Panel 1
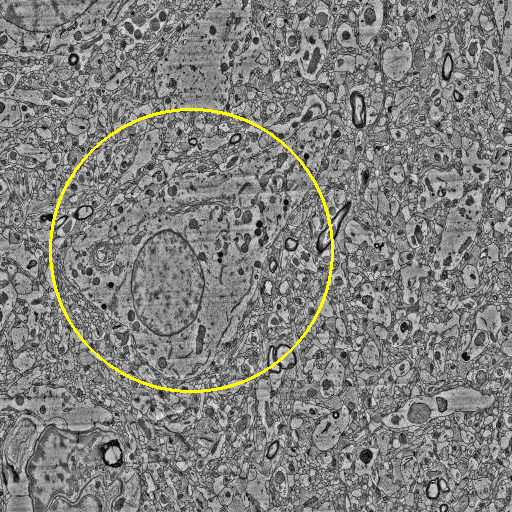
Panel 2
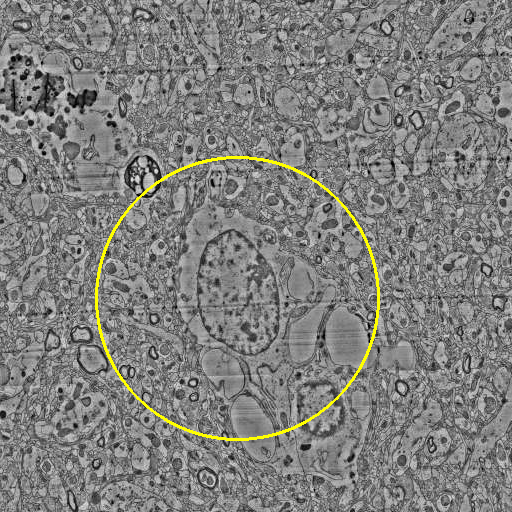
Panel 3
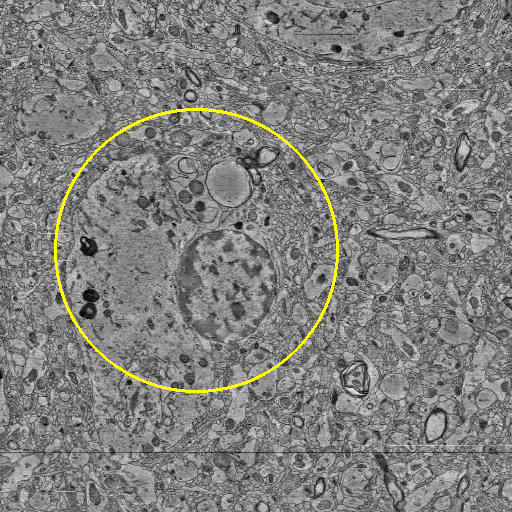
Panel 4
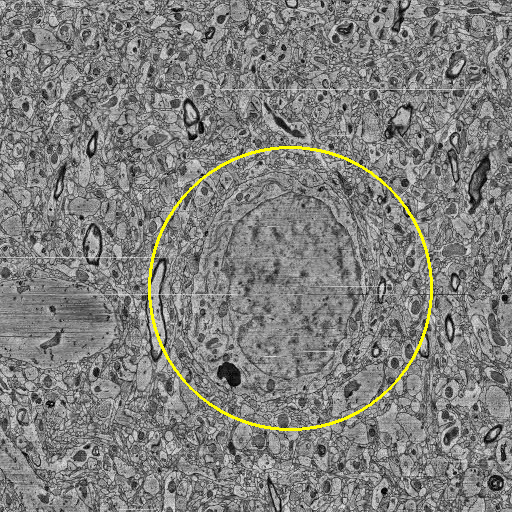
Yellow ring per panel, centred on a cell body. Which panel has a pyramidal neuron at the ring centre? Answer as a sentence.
Panel 1 shows it at the ring centre.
